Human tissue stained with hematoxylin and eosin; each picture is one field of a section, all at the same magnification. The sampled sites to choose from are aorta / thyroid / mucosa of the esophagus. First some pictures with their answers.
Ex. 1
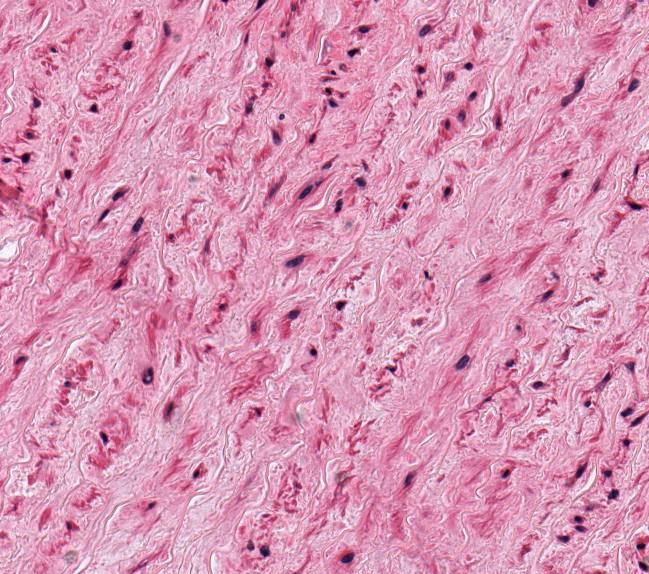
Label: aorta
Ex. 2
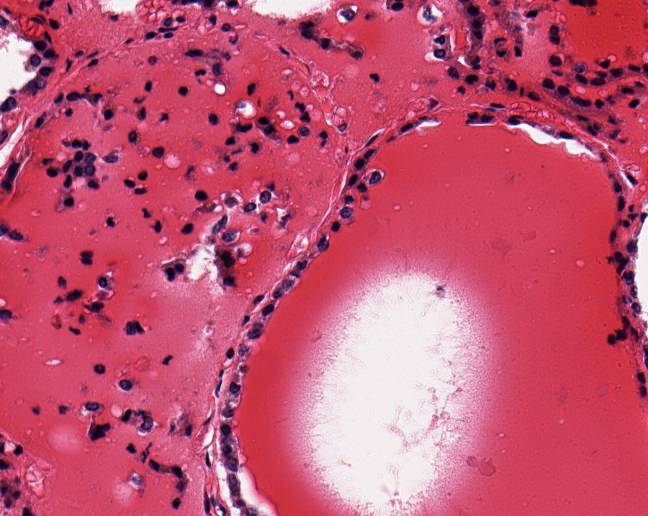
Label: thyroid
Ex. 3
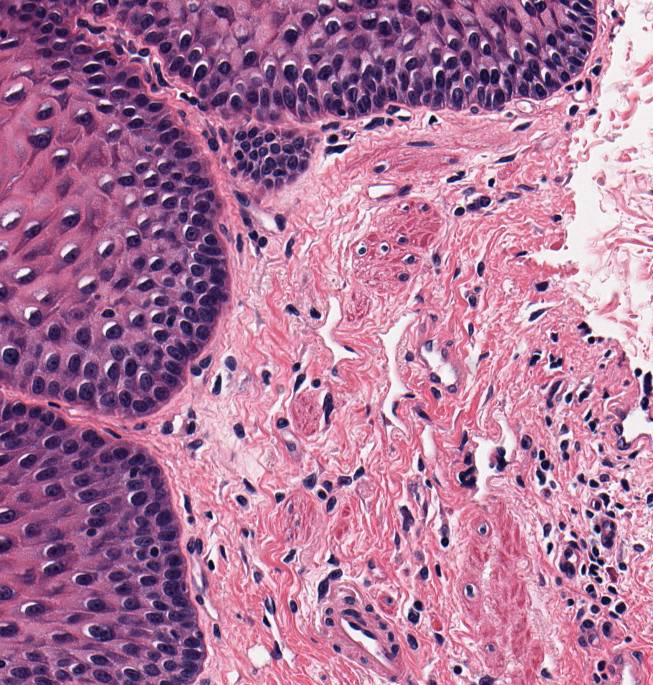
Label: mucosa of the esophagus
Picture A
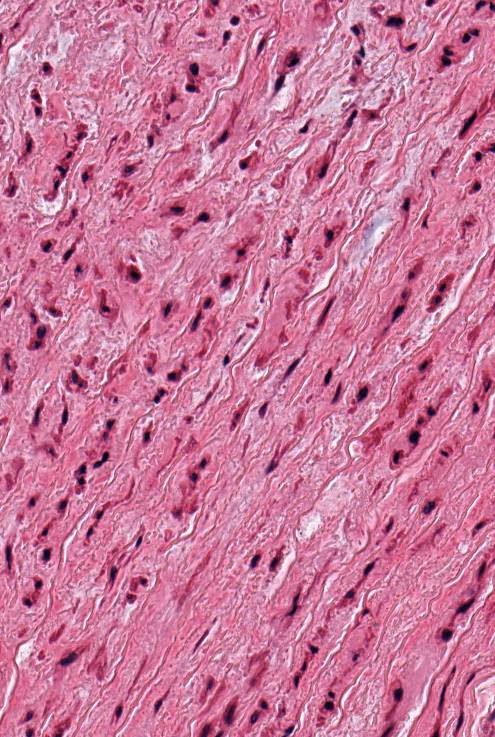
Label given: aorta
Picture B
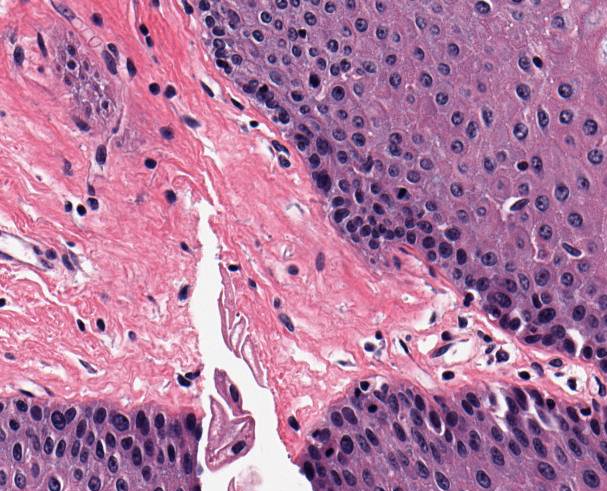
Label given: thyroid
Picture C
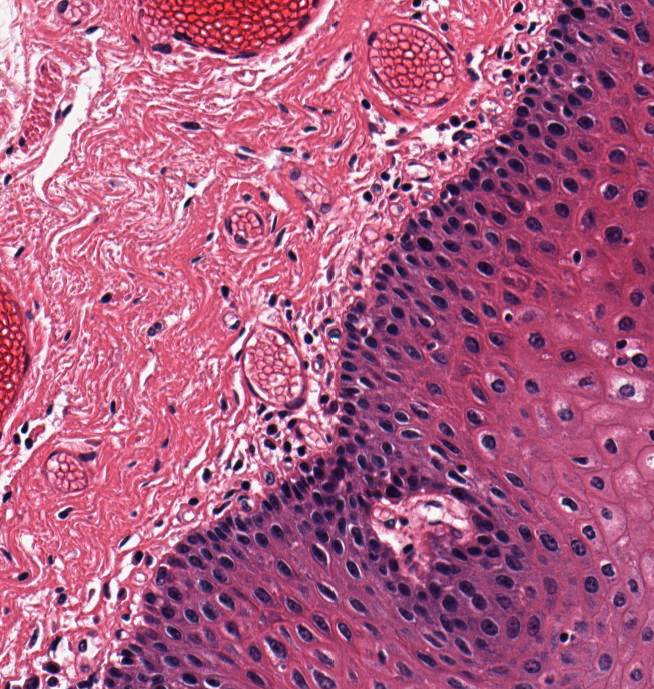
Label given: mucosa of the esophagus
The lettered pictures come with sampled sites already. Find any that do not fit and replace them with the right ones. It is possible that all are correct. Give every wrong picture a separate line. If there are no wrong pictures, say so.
B should be mucosa of the esophagus, not thyroid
